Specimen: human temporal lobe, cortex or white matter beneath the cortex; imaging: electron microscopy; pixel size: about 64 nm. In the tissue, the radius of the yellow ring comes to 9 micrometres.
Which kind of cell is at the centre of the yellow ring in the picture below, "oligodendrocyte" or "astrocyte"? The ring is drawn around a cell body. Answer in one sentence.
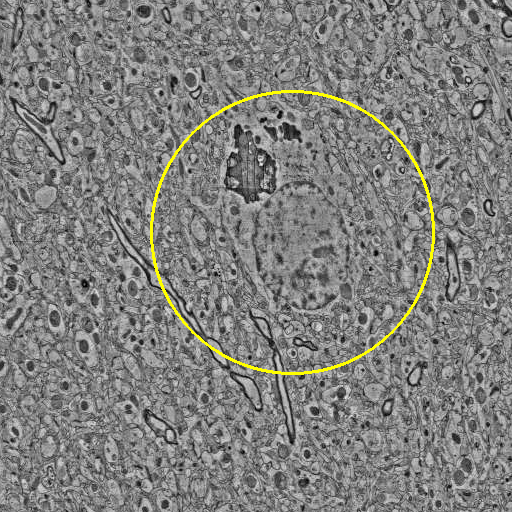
The ring's central cell is an astrocyte.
